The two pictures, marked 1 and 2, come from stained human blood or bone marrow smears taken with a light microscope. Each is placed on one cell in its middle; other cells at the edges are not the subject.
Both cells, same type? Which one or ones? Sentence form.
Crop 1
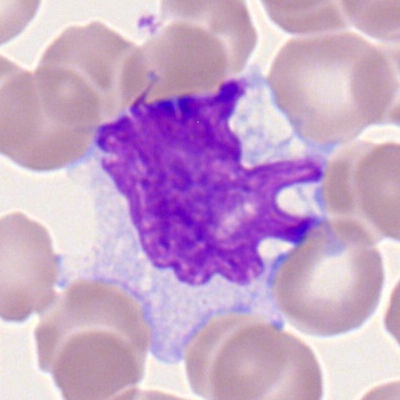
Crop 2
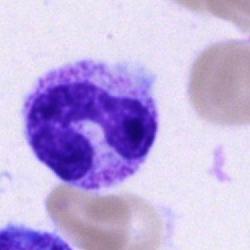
No, a monocyte lies at the centre of crop 1, and a band neutrophil lies at the centre of crop 2.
